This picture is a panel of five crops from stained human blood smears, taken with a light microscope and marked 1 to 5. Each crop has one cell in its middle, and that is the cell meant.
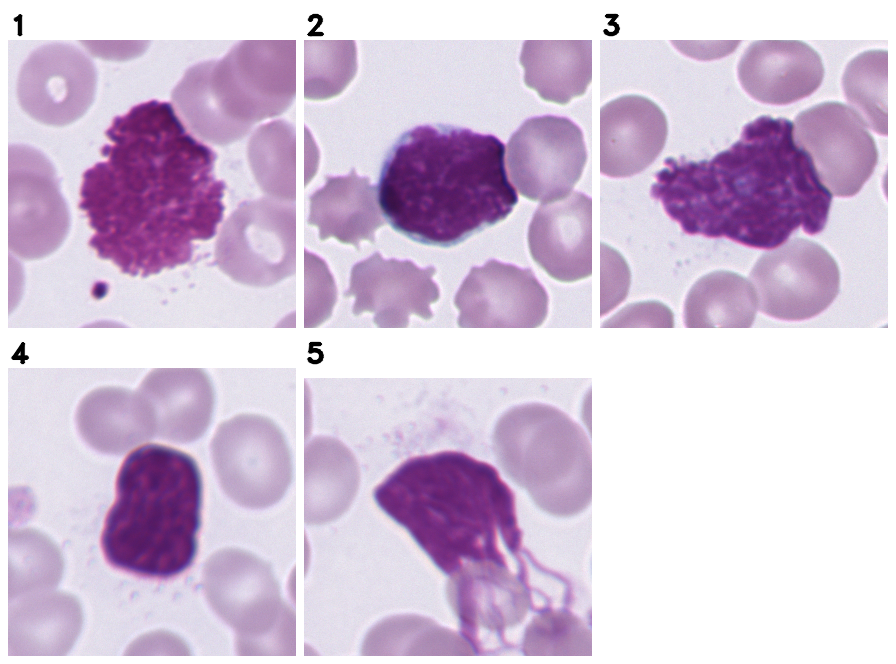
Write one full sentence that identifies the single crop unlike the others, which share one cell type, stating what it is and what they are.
Seen in crop 2 is a typical lymphocyte, and seen in all other crops are smudge cells.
